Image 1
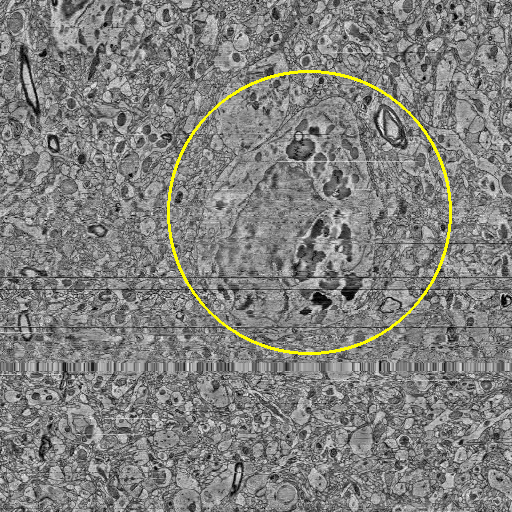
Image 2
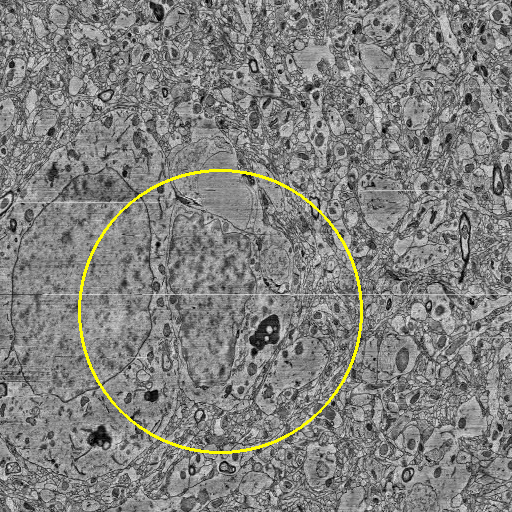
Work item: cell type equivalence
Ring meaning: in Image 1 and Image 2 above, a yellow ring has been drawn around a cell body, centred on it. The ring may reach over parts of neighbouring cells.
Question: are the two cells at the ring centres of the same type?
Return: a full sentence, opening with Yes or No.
Yes, the two centred cells are of the same type.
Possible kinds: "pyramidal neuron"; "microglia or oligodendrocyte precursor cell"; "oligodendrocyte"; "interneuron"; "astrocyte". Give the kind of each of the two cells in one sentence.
Each of the two rings surrounds an interneuron.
